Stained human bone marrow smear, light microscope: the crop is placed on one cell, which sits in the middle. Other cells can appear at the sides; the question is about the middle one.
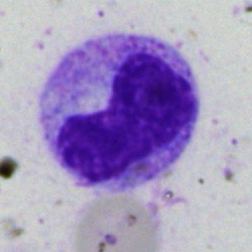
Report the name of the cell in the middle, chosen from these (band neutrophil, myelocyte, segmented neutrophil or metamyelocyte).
metamyelocyte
